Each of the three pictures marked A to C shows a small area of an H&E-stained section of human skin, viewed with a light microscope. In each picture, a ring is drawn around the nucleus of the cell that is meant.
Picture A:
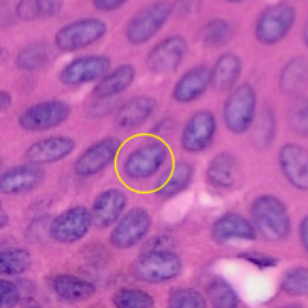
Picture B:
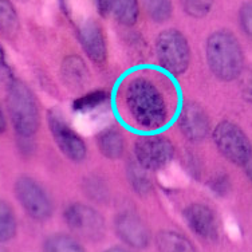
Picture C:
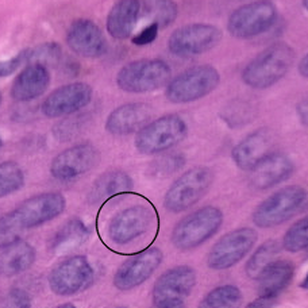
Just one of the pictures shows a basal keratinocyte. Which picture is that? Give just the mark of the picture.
B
